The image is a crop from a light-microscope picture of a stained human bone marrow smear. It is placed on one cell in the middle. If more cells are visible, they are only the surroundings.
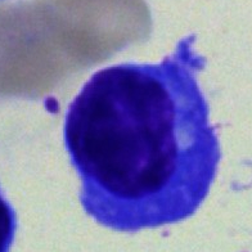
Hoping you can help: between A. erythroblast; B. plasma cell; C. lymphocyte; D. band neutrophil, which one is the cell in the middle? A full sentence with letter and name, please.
The cell at the centre, correctly named in option B, is a plasma cell.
